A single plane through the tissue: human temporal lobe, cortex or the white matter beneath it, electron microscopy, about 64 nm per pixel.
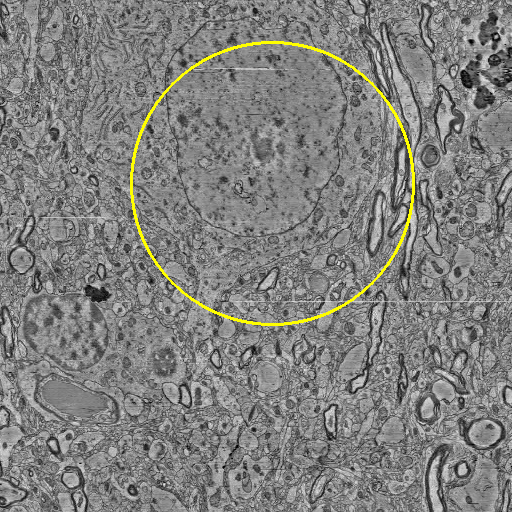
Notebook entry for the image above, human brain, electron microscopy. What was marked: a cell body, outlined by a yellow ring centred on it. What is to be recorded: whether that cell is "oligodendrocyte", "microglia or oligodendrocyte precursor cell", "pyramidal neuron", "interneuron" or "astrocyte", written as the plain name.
pyramidal neuron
